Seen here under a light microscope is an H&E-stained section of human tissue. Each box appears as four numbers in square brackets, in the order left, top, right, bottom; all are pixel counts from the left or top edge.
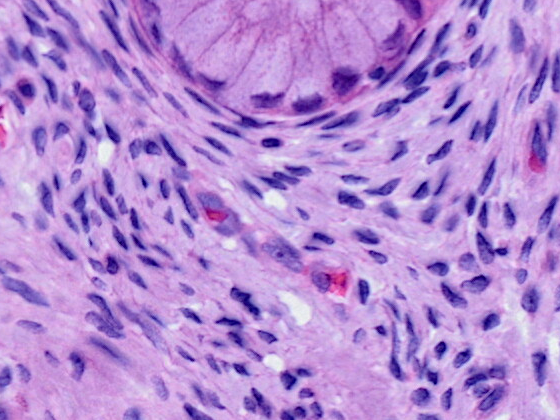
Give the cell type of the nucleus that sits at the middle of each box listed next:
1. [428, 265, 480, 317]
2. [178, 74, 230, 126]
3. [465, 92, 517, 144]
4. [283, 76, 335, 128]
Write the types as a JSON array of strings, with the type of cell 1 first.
["fibroblast", "fibroblast", "fibroblast", "secretory epithelial cell"]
